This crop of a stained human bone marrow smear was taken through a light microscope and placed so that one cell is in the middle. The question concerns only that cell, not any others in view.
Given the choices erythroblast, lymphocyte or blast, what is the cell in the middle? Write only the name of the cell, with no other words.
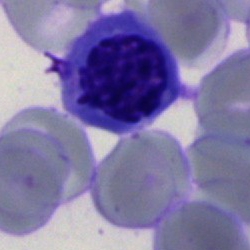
erythroblast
